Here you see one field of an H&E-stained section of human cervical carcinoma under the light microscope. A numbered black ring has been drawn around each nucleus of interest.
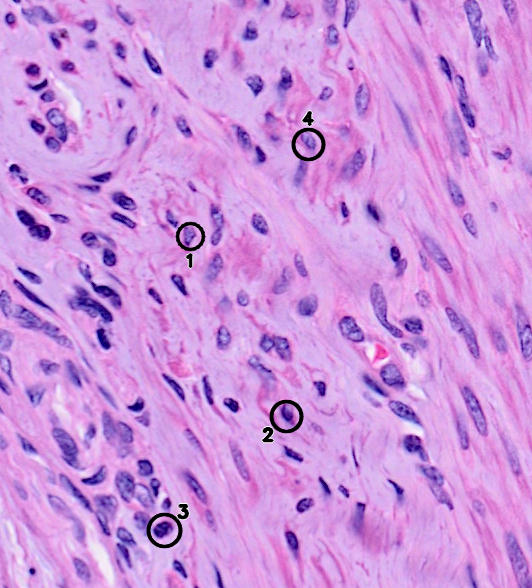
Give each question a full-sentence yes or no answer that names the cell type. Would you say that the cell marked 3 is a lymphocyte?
Yes, the cell with the mark numbered 3 is a lymphocyte.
